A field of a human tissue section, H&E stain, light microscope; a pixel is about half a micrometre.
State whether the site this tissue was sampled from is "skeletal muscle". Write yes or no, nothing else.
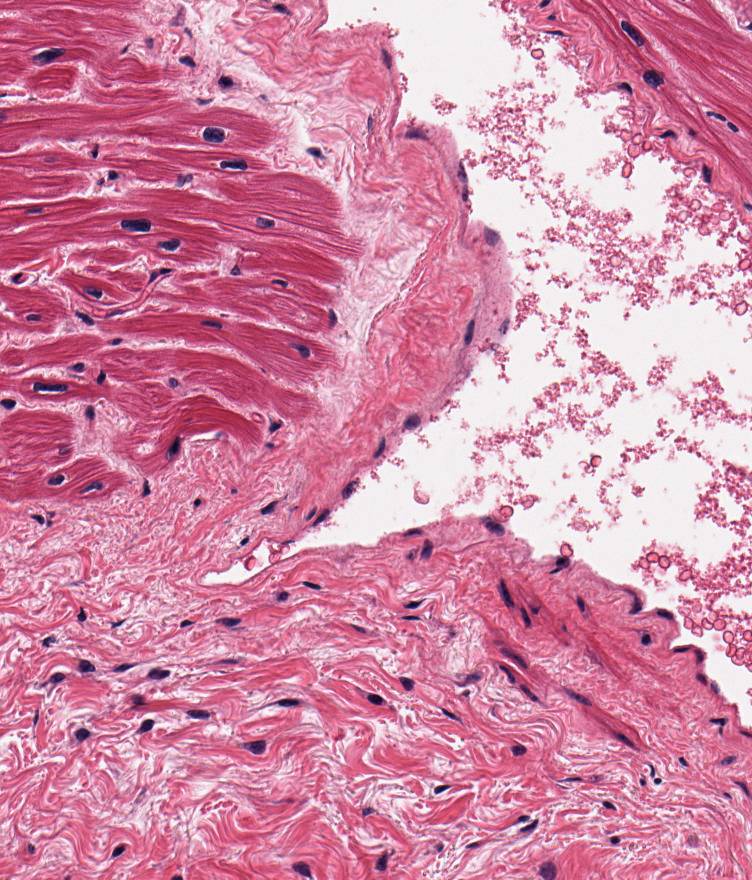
no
